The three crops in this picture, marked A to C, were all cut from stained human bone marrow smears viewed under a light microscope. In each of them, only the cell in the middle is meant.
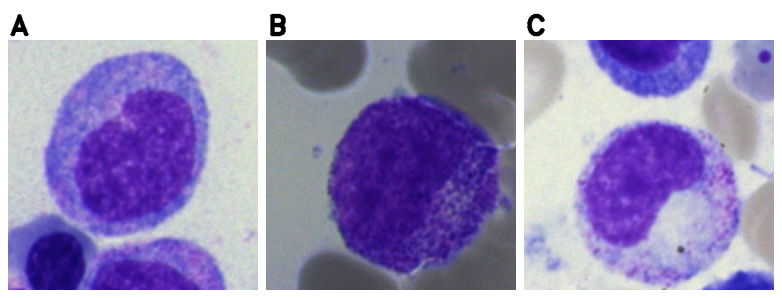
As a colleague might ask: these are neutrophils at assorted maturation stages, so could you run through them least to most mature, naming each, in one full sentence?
The progression from least to most mature runs crop A (a promyelocyte), crop B (a myelocyte) and crop C (a metamyelocyte).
